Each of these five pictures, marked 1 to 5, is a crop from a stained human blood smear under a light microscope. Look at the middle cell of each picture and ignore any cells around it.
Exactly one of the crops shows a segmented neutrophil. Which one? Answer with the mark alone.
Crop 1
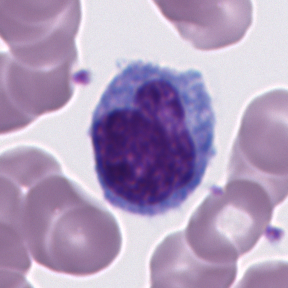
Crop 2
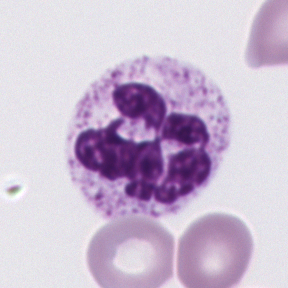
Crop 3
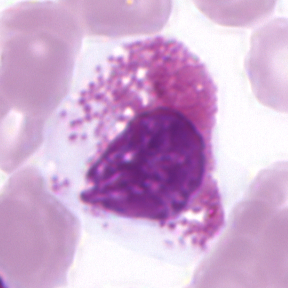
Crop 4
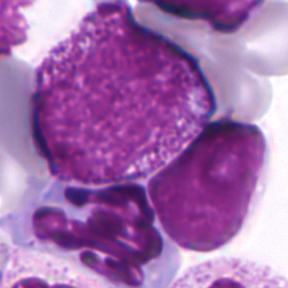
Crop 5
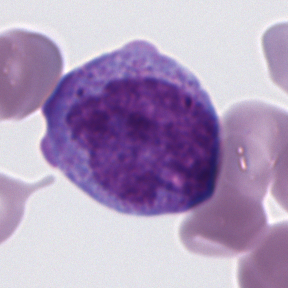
2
